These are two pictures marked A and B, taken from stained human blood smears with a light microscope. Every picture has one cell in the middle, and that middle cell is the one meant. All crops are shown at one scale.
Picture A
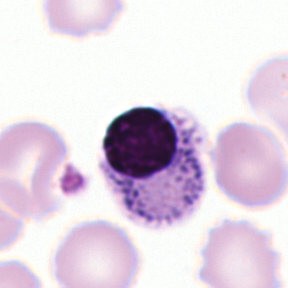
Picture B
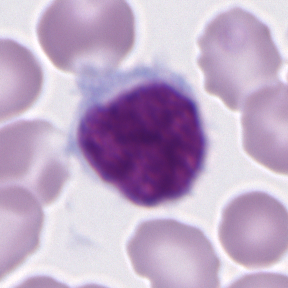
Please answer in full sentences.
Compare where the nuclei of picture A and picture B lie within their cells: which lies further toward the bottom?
In picture B the nucleus is shifted more toward the bottom.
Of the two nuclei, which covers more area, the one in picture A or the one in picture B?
The nucleus in picture B is larger, with about 3 times the area of the one in picture A.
